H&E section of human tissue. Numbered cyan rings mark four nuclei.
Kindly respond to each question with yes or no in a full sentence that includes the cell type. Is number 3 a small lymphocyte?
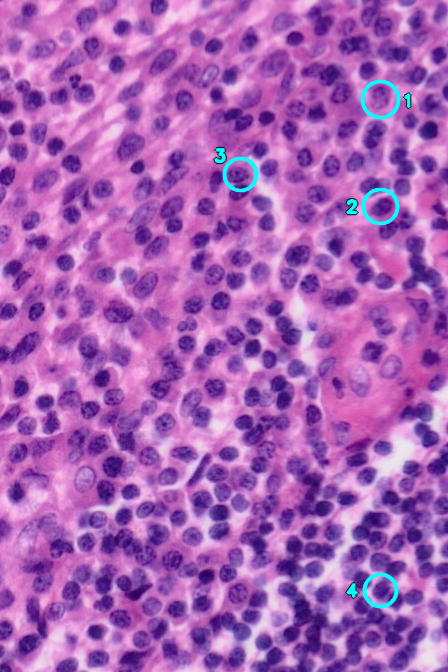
No, cell 3 is not a small lymphocyte; a plasma cell is correct.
